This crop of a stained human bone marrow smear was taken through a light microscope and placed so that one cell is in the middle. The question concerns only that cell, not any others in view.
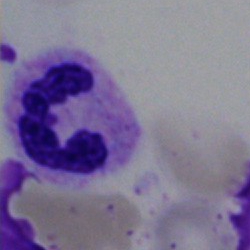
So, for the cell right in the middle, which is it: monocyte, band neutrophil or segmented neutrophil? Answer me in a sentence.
Among the cells in view, the one in the middle is a segmented neutrophil.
